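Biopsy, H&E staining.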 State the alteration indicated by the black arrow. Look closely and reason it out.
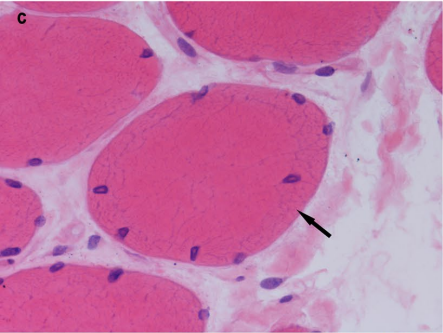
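Necklace fibre. Several nuclei are strung in a ring inside the fibre, set in from its border. A faint line connects the nuclei around the fibre.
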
